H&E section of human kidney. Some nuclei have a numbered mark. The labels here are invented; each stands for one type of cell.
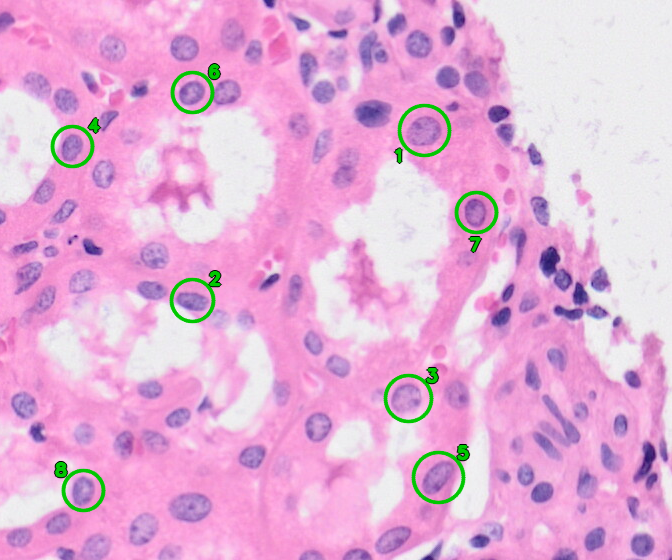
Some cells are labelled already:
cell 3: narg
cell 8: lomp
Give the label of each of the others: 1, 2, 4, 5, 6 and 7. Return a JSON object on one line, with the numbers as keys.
{"1": "narg", "2": "lomp", "4": "lomp", "5": "narg", "6": "narg", "7": "narg"}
